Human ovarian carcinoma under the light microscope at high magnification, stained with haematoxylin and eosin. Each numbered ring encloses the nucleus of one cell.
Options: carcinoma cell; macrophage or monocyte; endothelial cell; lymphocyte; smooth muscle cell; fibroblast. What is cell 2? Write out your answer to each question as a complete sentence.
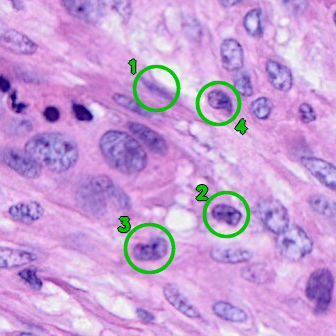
To a lymphocyte belongs the nucleus marked 2.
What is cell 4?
Nucleus 4 in this section belongs to a macrophage or monocyte.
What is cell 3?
The cell that carries the label 3 is a macrophage or monocyte.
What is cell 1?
Cell 1 of the marked set is a fibroblast.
